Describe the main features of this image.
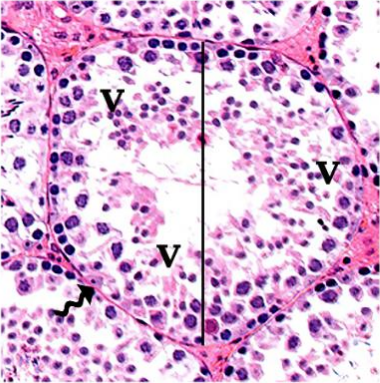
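A rounded seminiferous tubule of the testis is outlined by a thin pink basement membrane with a row of dark nuclei at its base. The epithelium looks looser, with pale clear spaces scattered among the cells and a lumen holding loosely arranged pink material. Cells with rounded dark nuclei fill the wall between these spaces.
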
